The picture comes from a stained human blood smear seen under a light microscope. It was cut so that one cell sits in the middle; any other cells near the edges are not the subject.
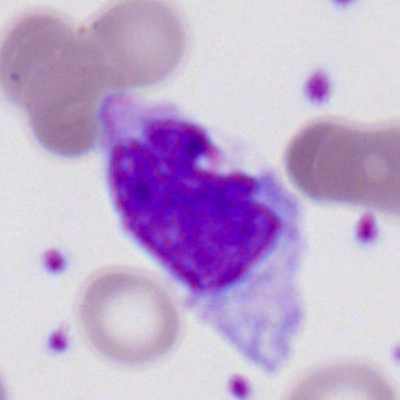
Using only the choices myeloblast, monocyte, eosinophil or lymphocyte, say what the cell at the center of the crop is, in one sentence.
As for the central cell, it is a monocyte.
